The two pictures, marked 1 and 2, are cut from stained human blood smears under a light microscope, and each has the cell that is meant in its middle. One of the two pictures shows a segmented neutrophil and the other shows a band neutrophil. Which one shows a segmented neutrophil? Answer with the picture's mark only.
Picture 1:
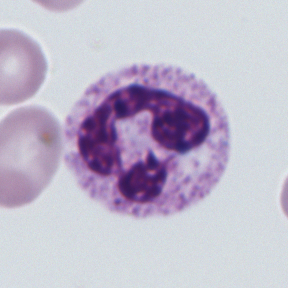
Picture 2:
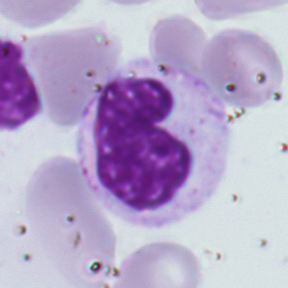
1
